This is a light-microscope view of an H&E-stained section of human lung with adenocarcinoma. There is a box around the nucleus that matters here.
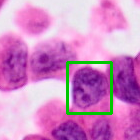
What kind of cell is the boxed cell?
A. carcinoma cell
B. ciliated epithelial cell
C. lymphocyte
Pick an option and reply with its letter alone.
A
